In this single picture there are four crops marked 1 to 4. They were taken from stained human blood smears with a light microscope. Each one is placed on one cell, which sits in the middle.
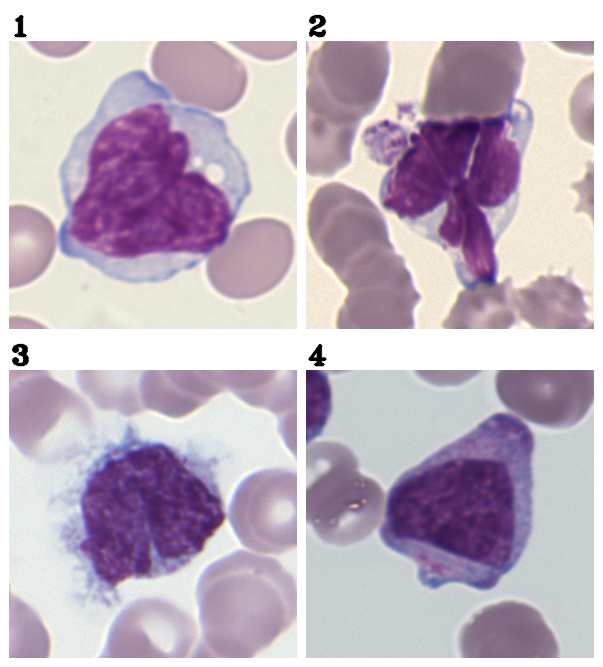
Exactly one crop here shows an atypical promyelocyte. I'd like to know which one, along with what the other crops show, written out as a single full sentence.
Crop 4 proves to be an atypical promyelocyte, while crop 1 is a myeloblast, crop 2 is a large granular lymphocyte and crop 3 is a monocyte.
